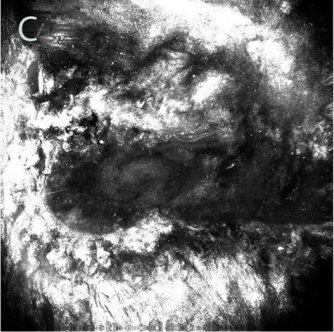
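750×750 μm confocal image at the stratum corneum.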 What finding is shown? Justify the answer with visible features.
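Large, very bright, irregular sheets and clumps of reflective material cover much of the field. No regular cell pattern is visible under the bright material.
Marked hyperkeratosis.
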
